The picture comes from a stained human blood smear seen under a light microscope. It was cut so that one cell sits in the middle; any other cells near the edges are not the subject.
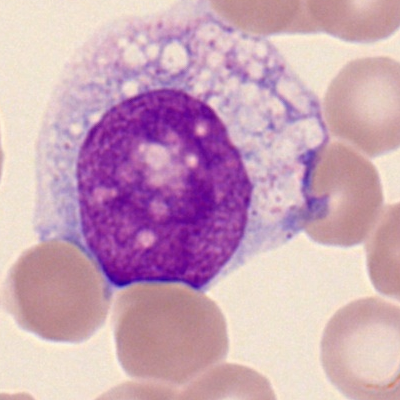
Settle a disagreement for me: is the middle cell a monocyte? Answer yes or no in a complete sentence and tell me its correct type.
Yes, the middle cell of the field is a monocyte.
